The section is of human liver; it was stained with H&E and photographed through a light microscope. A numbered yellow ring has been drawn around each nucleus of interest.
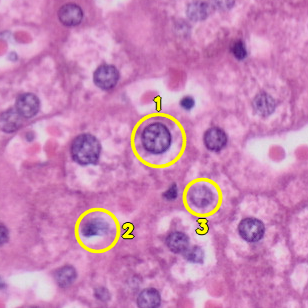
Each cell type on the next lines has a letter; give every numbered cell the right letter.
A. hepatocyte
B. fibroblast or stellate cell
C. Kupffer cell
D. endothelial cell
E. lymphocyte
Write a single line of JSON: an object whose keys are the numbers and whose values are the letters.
{"1": "A", "2": "D", "3": "A"}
